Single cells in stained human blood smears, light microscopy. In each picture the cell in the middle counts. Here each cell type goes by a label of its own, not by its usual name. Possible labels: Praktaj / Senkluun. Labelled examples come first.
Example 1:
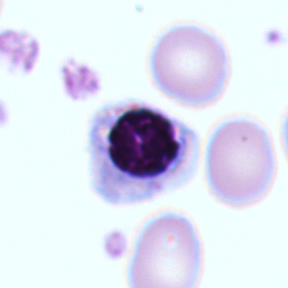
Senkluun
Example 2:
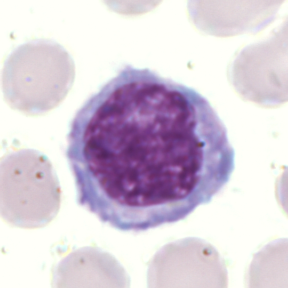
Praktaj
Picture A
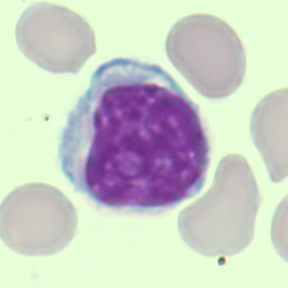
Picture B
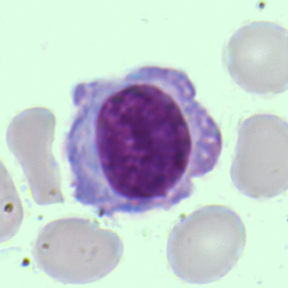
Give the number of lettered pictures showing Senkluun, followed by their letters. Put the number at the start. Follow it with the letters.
0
